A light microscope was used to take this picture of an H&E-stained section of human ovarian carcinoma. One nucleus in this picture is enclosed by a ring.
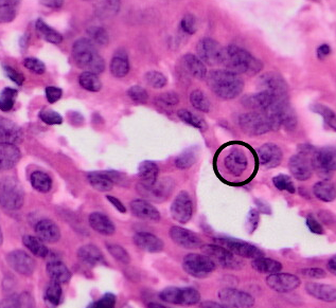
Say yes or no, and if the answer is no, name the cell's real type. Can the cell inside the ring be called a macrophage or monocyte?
Yes.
